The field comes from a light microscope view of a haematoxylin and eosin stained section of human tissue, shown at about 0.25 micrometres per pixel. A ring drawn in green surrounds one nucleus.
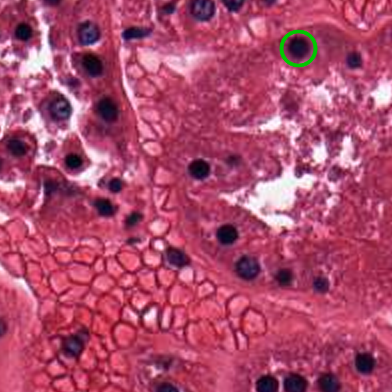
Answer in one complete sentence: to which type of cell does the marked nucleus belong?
In this section, the marked nucleus is that of a proximal tubule cell.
